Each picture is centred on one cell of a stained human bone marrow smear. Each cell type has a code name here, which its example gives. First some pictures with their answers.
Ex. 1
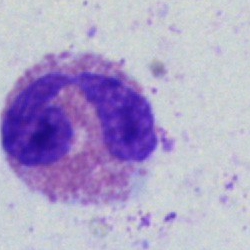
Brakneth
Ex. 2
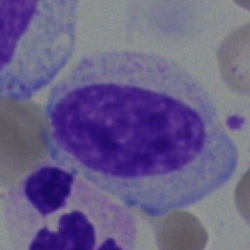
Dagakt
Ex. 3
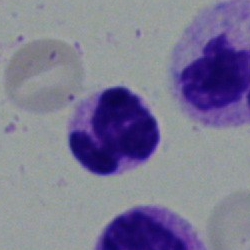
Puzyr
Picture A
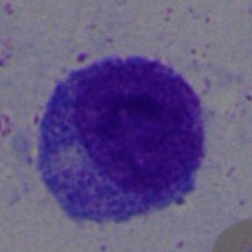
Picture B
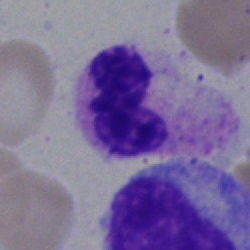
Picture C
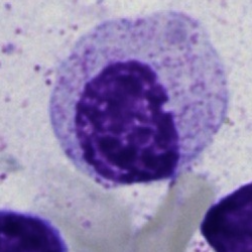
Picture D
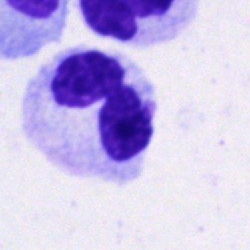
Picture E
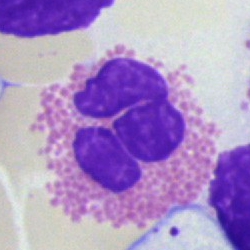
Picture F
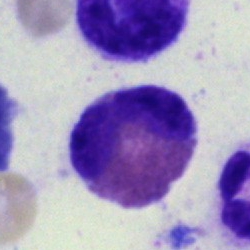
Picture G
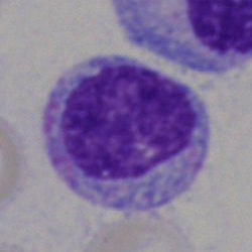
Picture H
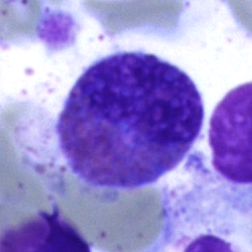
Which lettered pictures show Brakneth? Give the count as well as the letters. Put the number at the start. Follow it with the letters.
3, namely E, F, H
